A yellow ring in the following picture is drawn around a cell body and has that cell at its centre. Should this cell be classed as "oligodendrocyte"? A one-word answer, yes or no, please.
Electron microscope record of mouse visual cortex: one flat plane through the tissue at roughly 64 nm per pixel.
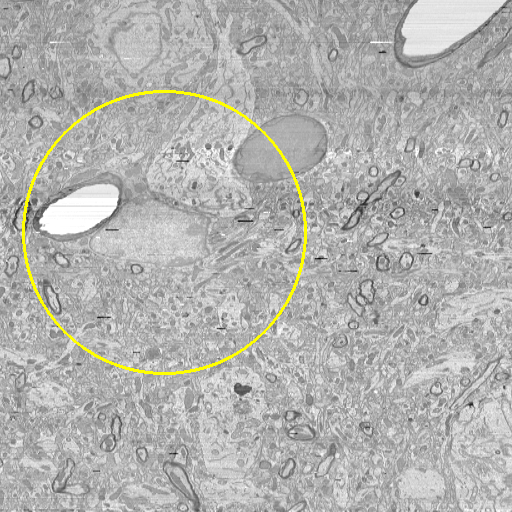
No, it is of another kind.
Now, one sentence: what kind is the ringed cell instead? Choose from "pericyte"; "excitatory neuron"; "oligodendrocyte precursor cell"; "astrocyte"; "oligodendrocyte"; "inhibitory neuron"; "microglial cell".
The correct answer is that the cell is an astrocyte.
